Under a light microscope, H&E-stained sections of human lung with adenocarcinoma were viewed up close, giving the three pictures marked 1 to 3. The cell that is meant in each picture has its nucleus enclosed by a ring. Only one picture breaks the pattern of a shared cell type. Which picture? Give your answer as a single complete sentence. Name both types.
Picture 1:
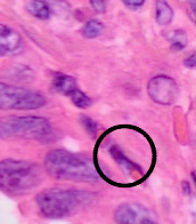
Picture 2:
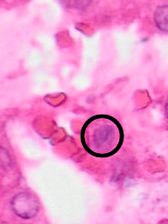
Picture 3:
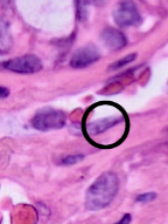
The different one is picture 2; it shows a “macrophage or monocyte”, whereas all the others show endothelial cells.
